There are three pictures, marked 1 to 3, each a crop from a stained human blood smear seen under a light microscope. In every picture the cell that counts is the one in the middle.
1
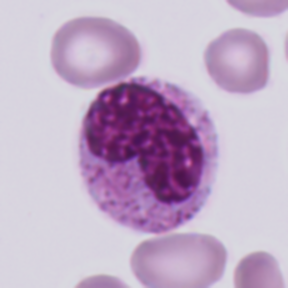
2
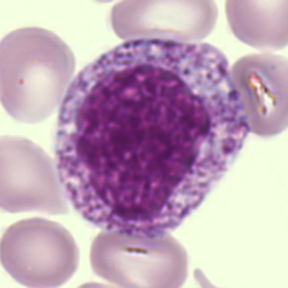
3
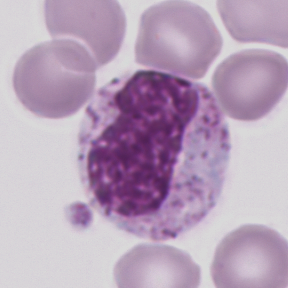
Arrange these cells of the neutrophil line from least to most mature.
2, 3, 1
